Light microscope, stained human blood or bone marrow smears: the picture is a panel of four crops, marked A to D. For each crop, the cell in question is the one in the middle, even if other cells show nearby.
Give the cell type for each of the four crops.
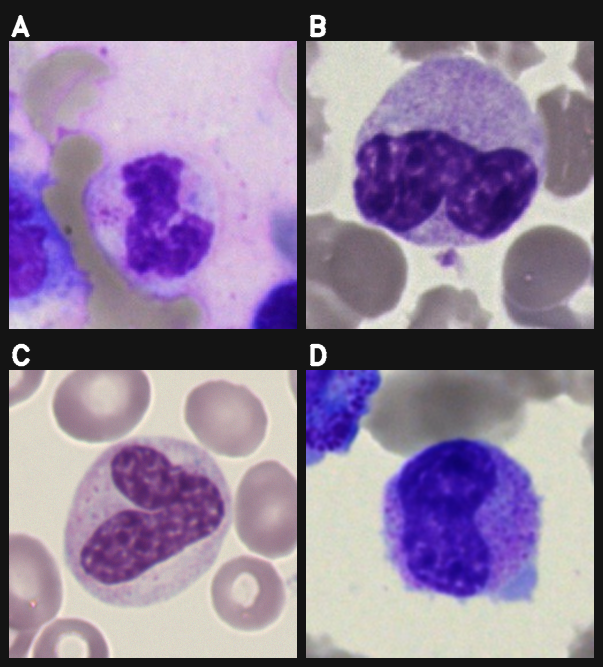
A: segmented neutrophil
B: band neutrophil
C: band neutrophil
D: band neutrophil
